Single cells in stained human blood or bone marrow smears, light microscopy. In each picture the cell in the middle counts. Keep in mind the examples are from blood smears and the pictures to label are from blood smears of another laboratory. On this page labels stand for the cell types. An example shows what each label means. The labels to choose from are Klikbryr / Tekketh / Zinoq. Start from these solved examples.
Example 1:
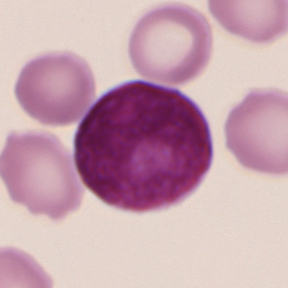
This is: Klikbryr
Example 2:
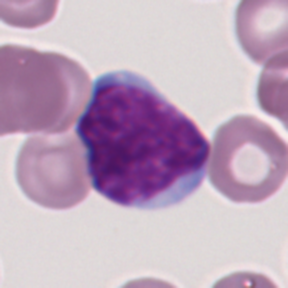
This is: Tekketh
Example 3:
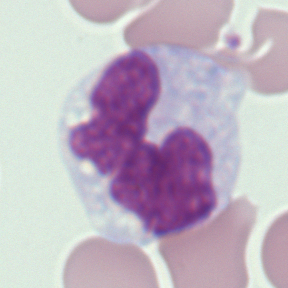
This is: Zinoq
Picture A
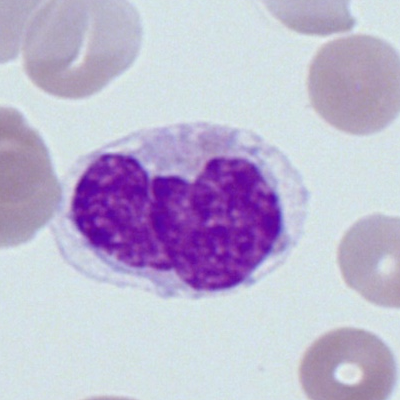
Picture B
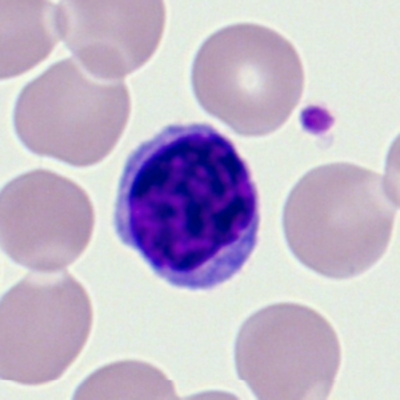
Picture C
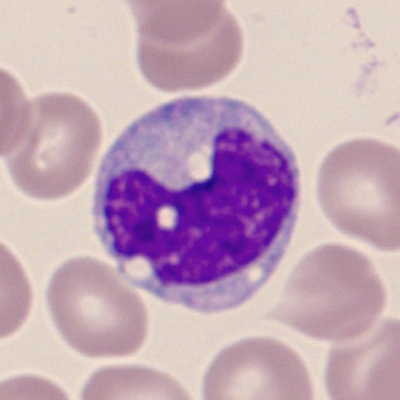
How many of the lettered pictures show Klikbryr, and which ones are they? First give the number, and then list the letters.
0, none of them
